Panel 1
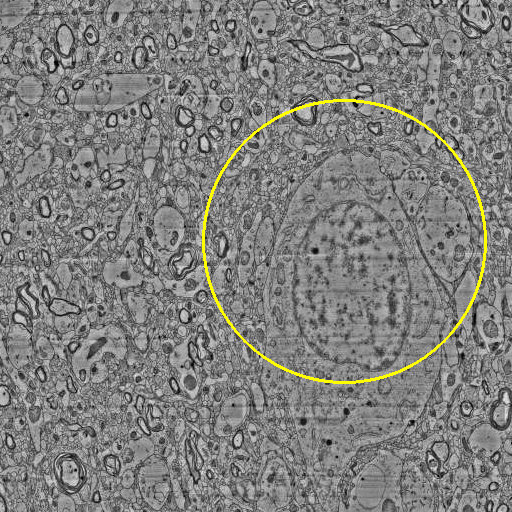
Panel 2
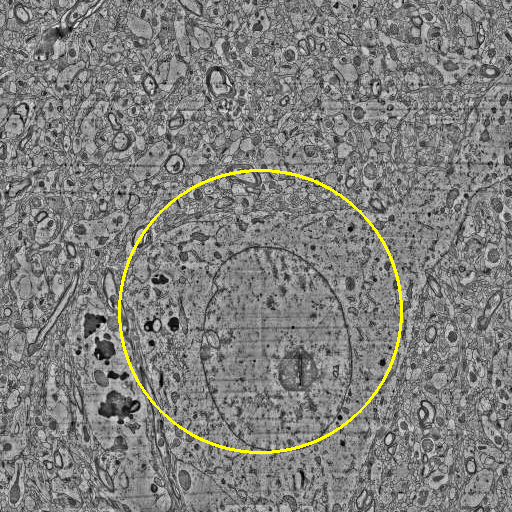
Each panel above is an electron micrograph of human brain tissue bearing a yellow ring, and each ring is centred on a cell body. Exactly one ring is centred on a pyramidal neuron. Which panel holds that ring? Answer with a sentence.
That ring is in Panel 2.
